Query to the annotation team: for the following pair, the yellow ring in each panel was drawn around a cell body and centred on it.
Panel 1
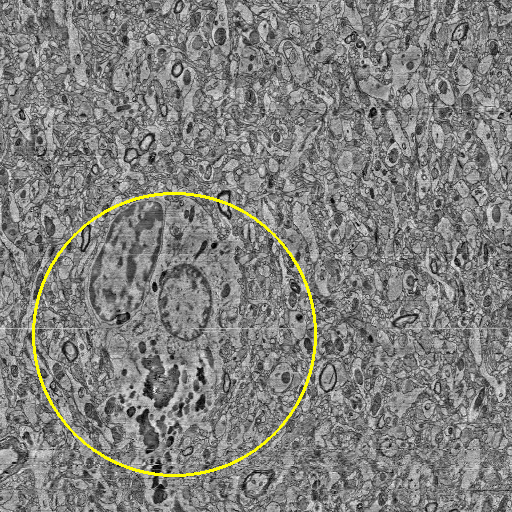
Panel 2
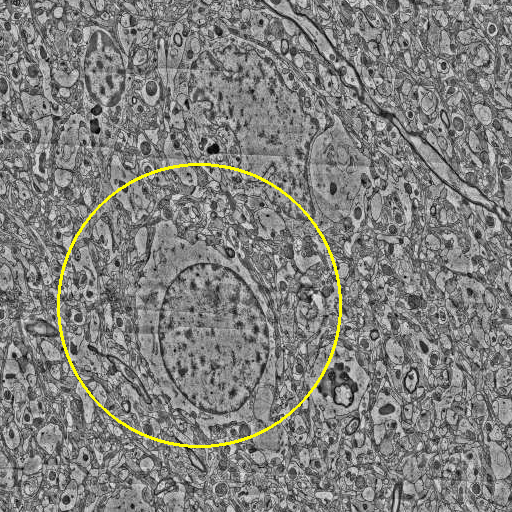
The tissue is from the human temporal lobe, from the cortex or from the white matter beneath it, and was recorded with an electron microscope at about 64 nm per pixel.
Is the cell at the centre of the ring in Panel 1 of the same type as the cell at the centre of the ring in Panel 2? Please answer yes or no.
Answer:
yes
